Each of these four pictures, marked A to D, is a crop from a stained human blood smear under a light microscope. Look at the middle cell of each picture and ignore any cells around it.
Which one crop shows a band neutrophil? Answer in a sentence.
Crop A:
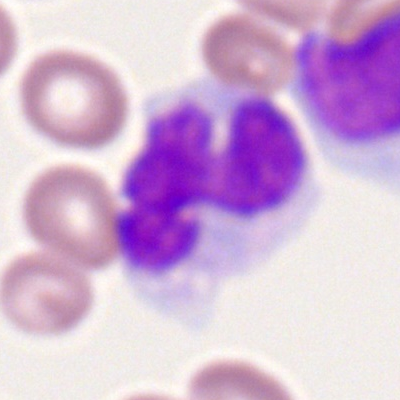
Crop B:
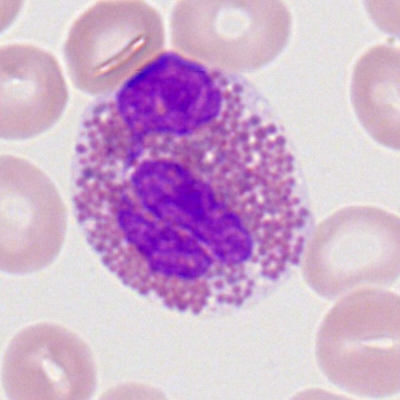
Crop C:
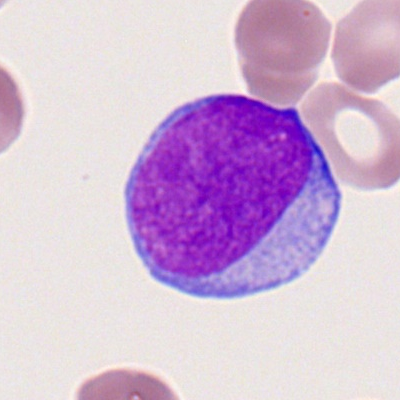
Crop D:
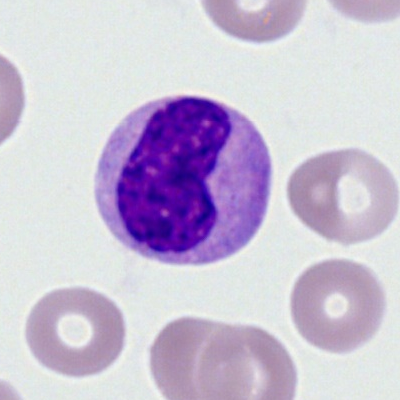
Within this set, crop D is the one with a band neutrophil at its center.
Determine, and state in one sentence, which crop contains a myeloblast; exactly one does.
Crop C shows a myeloblast, and no other crop does.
